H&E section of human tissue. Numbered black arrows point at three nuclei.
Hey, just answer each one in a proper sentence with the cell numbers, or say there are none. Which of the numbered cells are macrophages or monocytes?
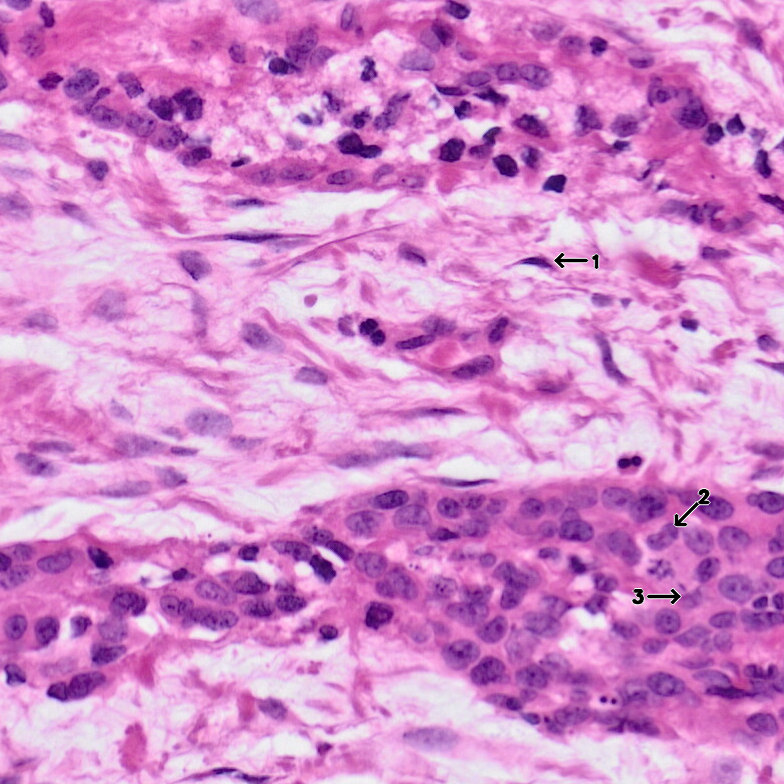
Of all the cells bearing numbers, cell 2 is the only one that is a macrophage or monocyte.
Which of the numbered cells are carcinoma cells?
Only cell 3 qualifies as a carcinoma cell among the numbered cells.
